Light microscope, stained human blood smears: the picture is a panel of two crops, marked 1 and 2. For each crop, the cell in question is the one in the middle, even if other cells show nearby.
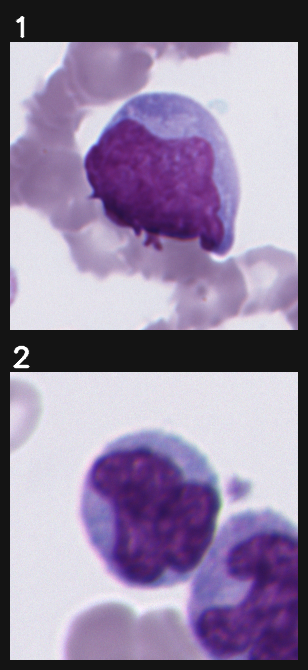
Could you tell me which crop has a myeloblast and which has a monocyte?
1: myeloblast
2: monocyte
